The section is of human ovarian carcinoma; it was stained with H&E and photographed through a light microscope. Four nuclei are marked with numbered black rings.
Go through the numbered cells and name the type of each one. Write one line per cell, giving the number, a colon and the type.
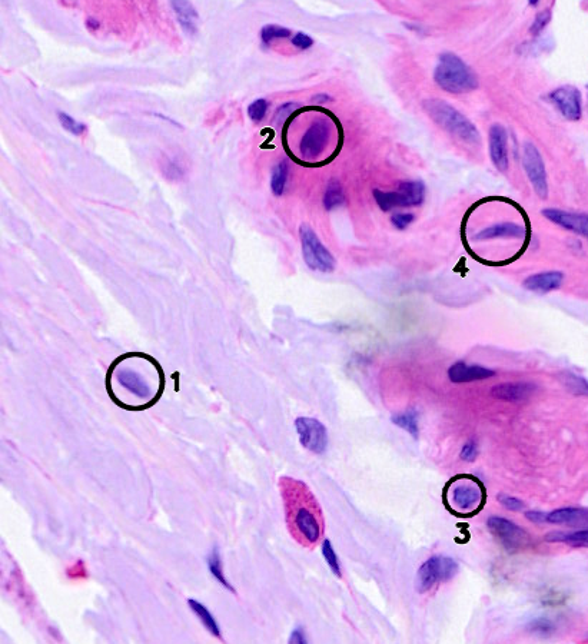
1: fibroblast
2: smooth muscle cell
3: smooth muscle cell
4: smooth muscle cell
